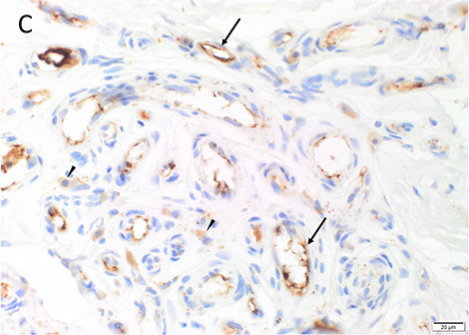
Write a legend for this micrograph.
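Many small vessels cut in cross-section lie in a pale fibrous stroma. A dark brown stain lines the luminal surface of the vessels, concentrated in the thin endothelial layer, while the outer wall layers with their elongated blue nuclei remain mostly unstained. A few scattered cells in the stroma between vessels also carry brown granular stain. Nuclei throughout are blue, and the stroma between the vessels is pale and loosely textured.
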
